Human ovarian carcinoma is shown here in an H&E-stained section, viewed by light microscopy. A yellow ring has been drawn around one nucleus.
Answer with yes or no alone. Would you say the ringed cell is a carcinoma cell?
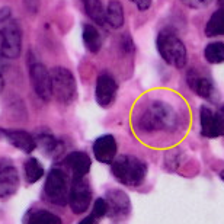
no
